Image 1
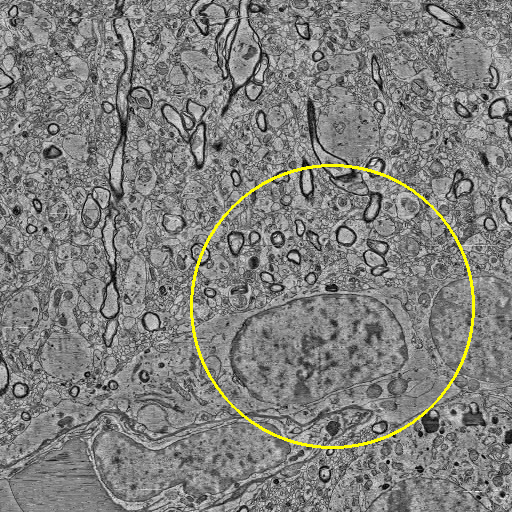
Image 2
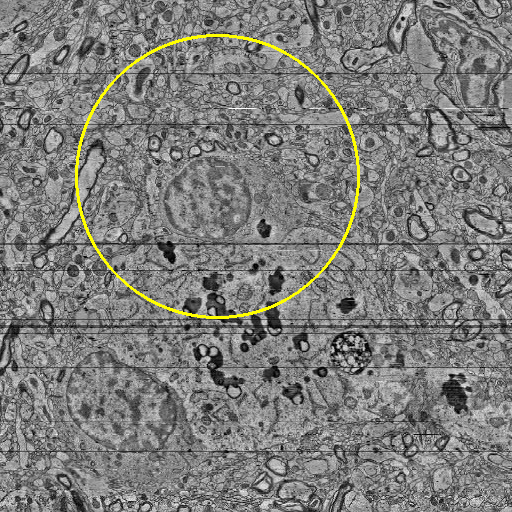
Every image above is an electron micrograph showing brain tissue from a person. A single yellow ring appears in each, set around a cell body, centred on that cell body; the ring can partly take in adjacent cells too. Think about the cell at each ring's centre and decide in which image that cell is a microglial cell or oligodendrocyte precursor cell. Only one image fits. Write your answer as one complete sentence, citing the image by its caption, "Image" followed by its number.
Image 1 is the one whose ringed central cell fits the description.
